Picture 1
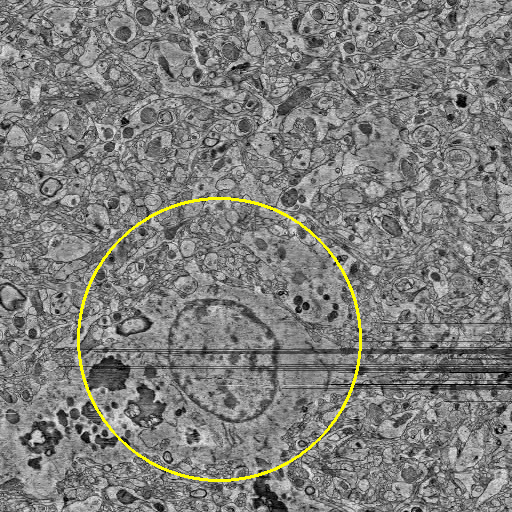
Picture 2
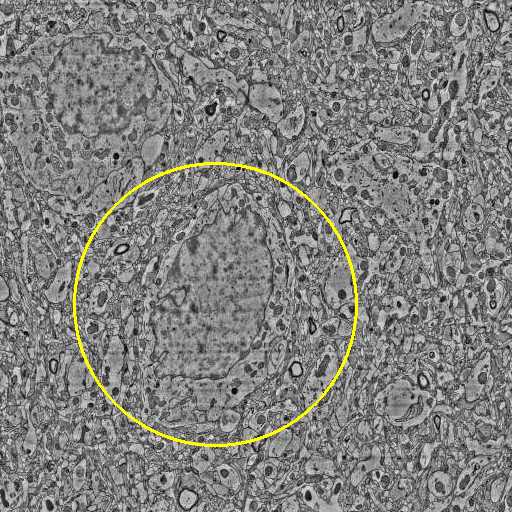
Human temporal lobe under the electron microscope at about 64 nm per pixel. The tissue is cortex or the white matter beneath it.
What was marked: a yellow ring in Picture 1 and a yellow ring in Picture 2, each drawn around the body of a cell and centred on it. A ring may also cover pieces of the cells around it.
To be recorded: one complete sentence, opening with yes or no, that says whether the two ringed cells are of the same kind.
No, the two ringed cells are of two kinds.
